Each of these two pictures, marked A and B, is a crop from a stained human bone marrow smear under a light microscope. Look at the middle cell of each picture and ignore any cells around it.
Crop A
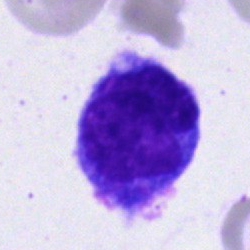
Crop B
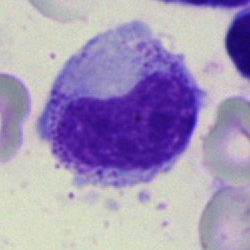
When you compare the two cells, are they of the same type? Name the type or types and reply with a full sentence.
No, crop A is where a monocyte is shown, and crop B is where a metamyelocyte is shown.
